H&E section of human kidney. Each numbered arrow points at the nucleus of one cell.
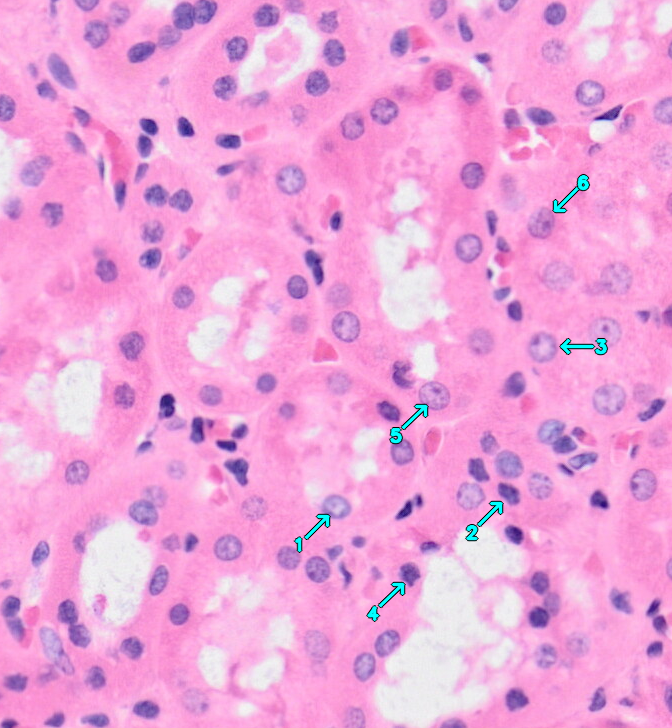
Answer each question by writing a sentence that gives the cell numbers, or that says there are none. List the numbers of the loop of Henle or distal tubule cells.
The cells with the numbers 2 and 4 are loop of Henle or distal tubule cells.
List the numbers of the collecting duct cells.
As regards the numbered cells, collecting duct cells are not represented.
